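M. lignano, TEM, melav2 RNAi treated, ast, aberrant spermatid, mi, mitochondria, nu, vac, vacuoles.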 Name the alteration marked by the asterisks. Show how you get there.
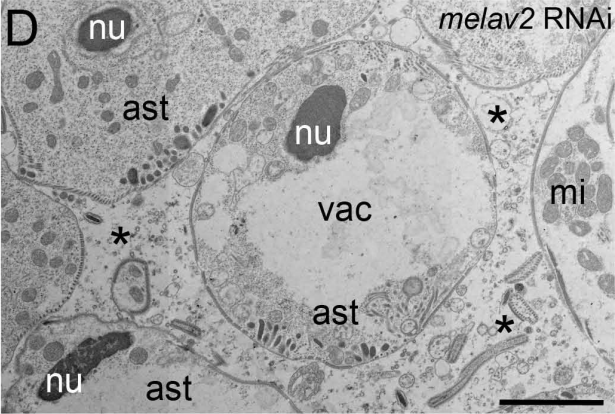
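The asterisks lie in spaces between cell membranes. Small vesicles and membrane fragments lie in these spaces outside the cells.
Cell components.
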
